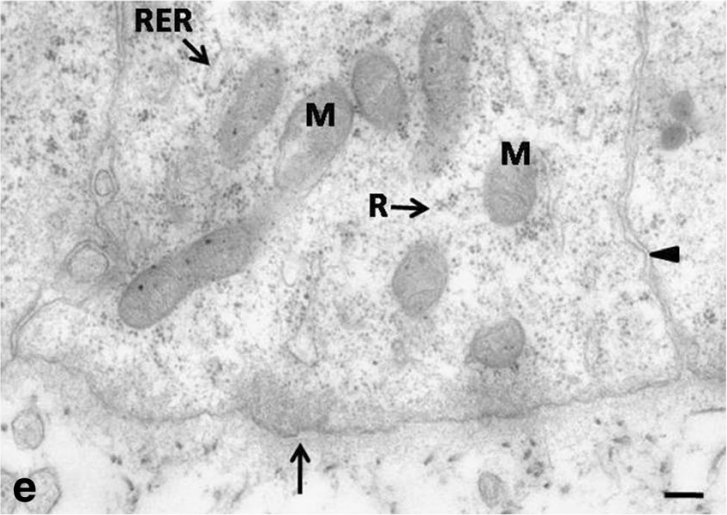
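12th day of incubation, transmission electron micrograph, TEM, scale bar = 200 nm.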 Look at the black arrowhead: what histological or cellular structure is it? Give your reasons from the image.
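The arrowhead points to two parallel membranes running side by side with almost no gap between them. So: cell membrane closely adjacent to each other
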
